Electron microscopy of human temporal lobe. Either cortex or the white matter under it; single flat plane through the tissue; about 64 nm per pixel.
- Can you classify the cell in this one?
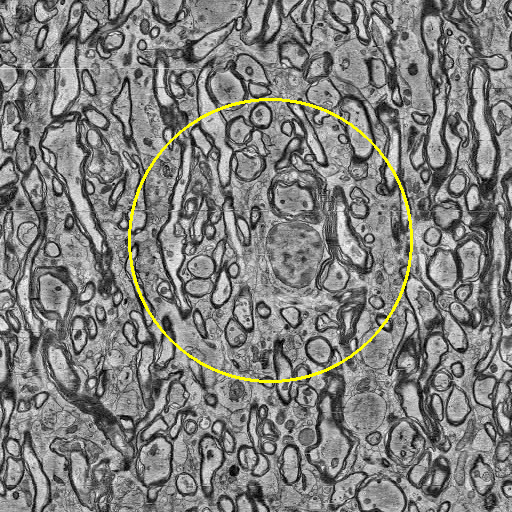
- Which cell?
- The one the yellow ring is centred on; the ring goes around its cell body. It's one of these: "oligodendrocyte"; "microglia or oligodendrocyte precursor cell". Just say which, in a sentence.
The cell body in the ring belongs to a microglial cell or oligodendrocyte precursor cell.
